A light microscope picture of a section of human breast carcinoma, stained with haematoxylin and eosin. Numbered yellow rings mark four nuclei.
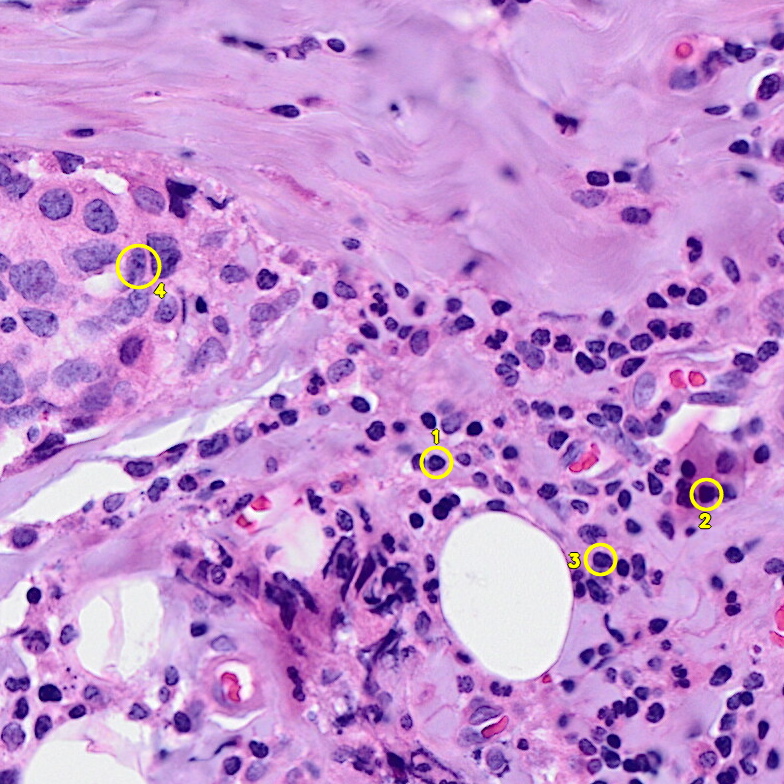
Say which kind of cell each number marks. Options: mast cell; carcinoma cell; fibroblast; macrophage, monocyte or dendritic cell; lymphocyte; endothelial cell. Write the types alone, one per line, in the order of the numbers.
lymphocyte
lymphocyte
lymphocyte
carcinoma cell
